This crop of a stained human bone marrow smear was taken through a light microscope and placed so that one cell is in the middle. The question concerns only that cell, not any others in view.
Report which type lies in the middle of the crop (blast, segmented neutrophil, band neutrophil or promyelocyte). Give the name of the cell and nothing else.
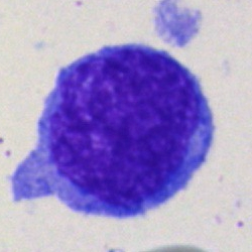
blast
